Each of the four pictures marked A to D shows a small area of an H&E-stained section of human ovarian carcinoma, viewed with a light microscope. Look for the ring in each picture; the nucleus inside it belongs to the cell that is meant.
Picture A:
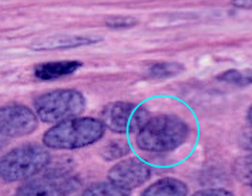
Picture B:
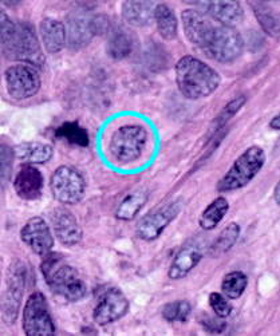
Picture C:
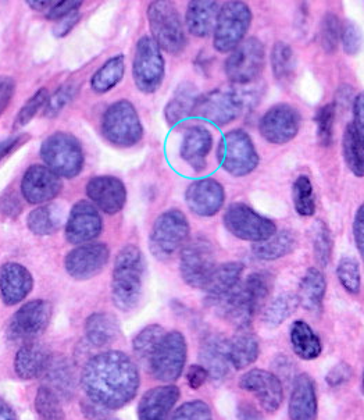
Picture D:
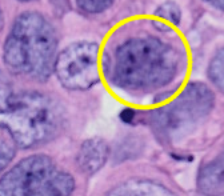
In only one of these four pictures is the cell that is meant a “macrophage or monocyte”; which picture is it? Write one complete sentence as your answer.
The picture with the “macrophage or monocyte” is B.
